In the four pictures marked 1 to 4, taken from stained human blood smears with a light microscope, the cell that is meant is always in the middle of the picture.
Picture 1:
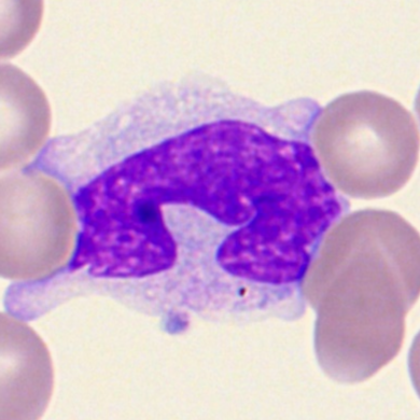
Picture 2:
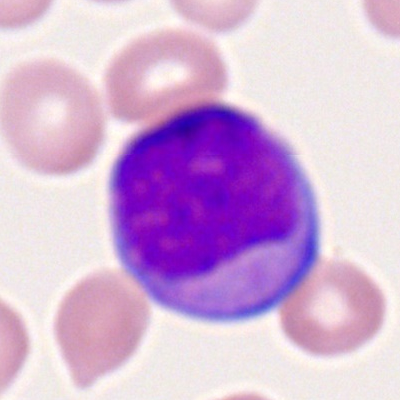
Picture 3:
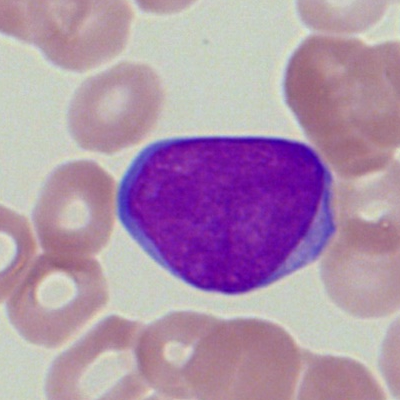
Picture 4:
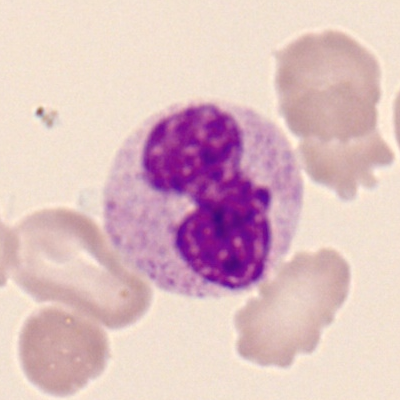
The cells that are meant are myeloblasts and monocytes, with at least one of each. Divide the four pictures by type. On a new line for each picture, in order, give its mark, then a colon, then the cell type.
1: monocyte
2: myeloblast
3: myeloblast
4: monocyte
